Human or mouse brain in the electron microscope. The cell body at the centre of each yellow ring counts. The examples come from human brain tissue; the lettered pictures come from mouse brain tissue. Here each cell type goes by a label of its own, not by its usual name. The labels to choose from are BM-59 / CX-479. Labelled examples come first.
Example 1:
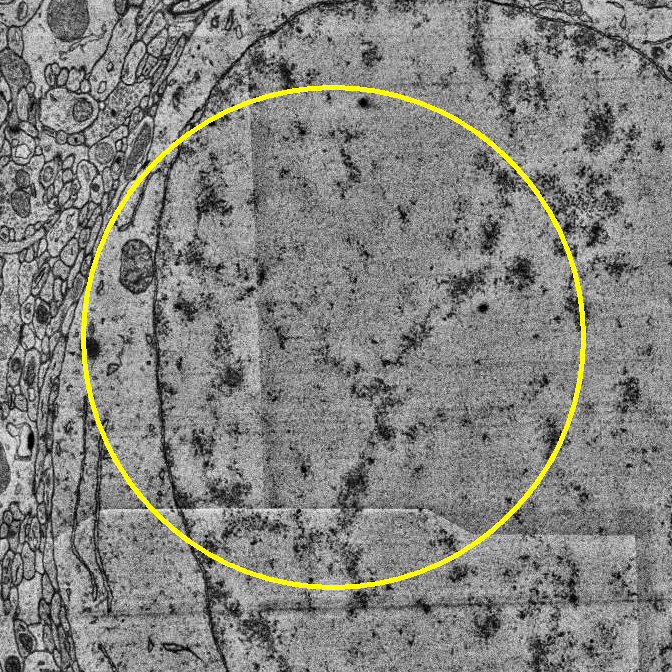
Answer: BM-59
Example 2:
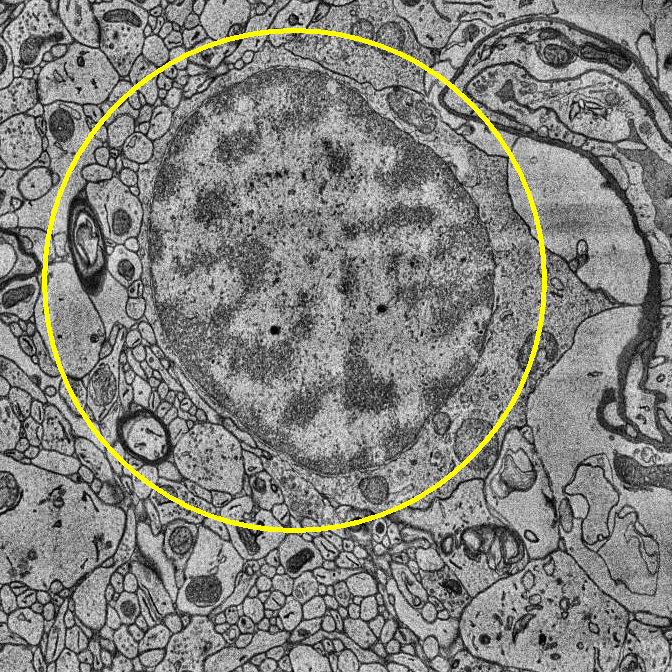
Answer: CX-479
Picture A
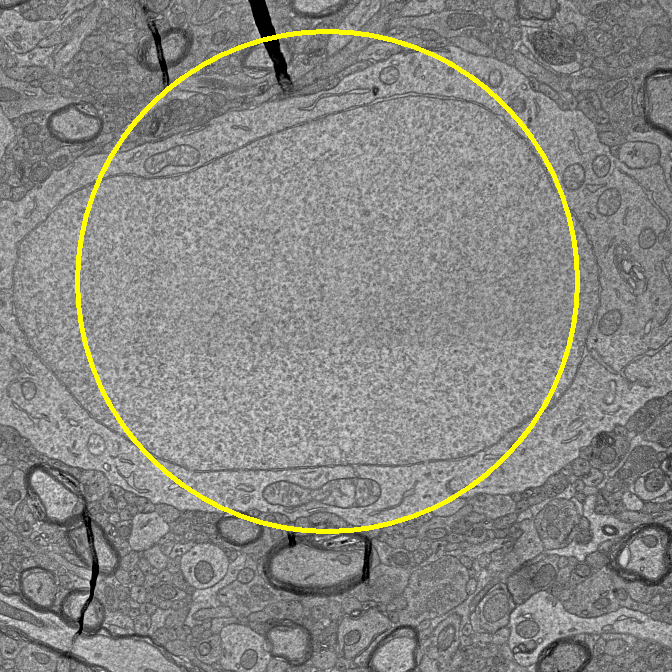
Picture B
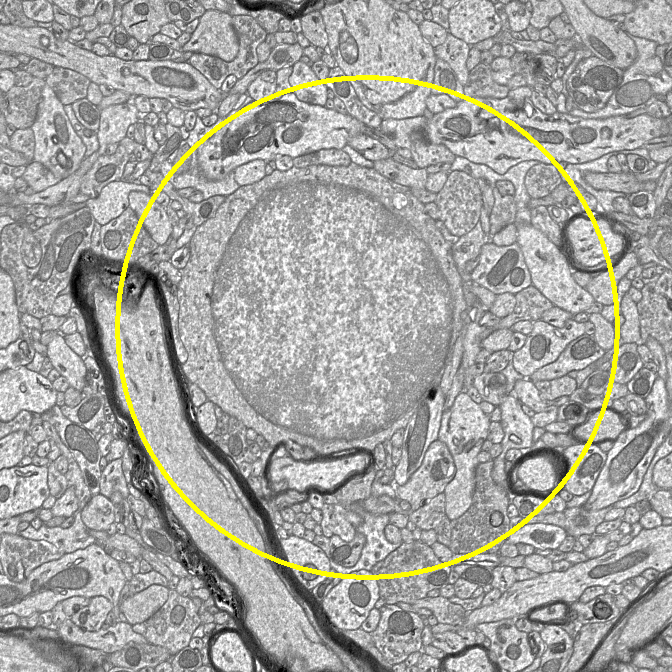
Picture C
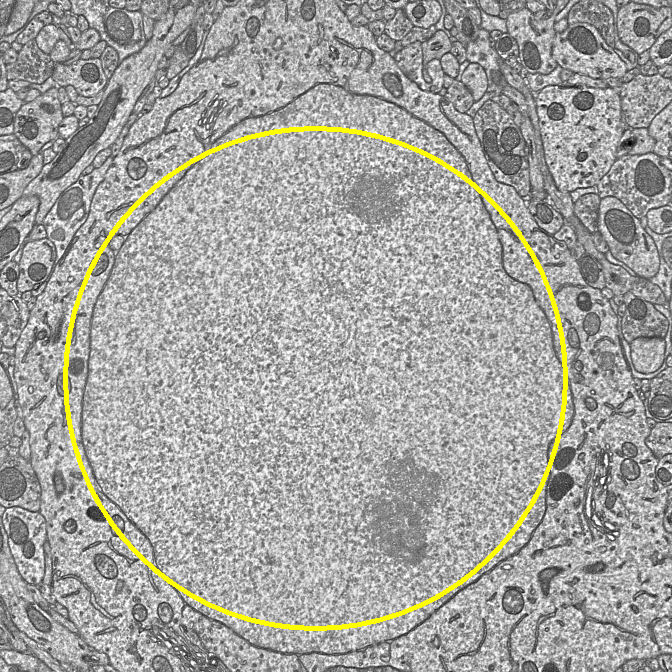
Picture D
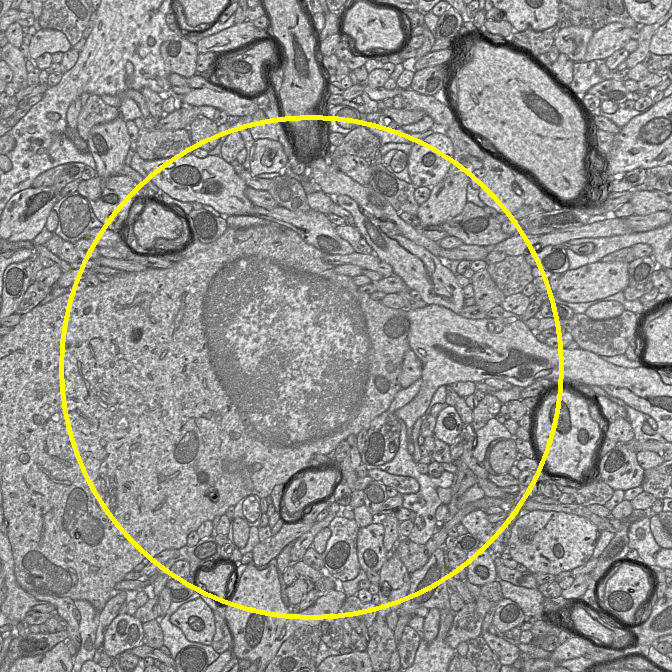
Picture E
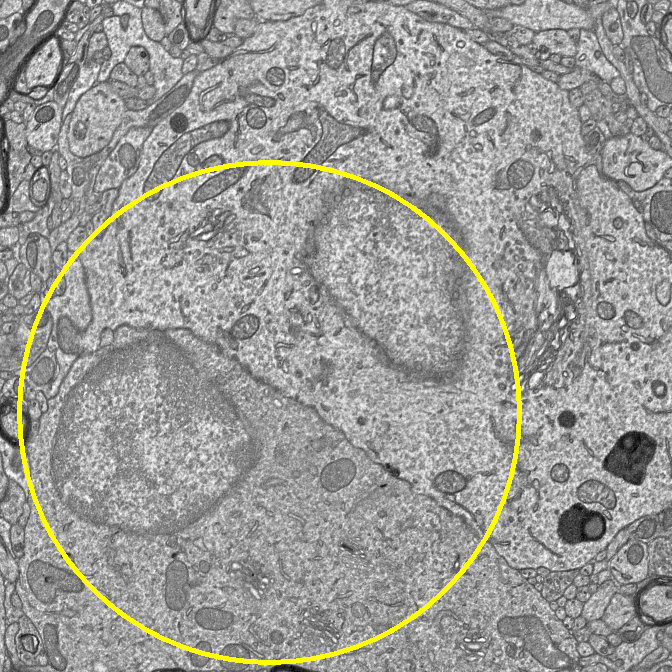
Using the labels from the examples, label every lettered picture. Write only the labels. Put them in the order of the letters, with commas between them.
BM-59, CX-479, BM-59, CX-479, CX-479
